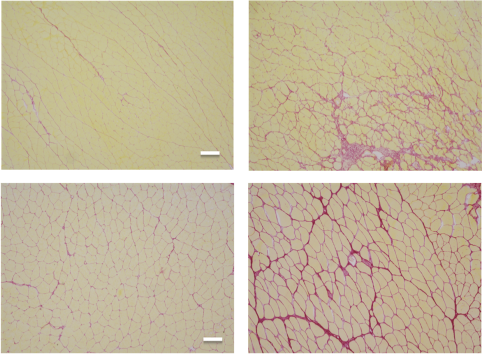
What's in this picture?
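Cross-sections of skeletal muscle in four fields, with the fibres pale yellow and the connective tissue between them red. In the left two fields, the red lines around the fibres are thin. In the right two fields, the red bands between the fibres are thicker and broader, most markedly in the lower right field.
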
